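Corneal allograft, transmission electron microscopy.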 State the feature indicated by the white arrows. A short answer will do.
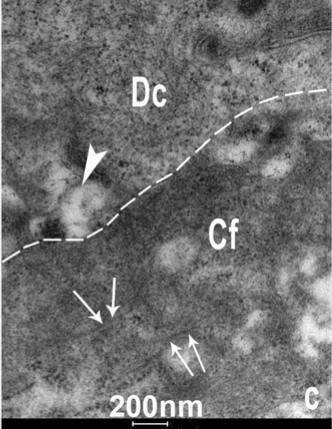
irregular aggregates of fibrils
